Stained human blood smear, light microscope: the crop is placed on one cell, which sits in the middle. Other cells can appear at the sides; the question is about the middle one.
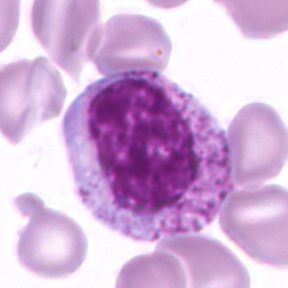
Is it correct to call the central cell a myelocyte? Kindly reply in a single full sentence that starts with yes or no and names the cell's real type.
Yes, a myelocyte is the cell positioned in the middle of the field.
